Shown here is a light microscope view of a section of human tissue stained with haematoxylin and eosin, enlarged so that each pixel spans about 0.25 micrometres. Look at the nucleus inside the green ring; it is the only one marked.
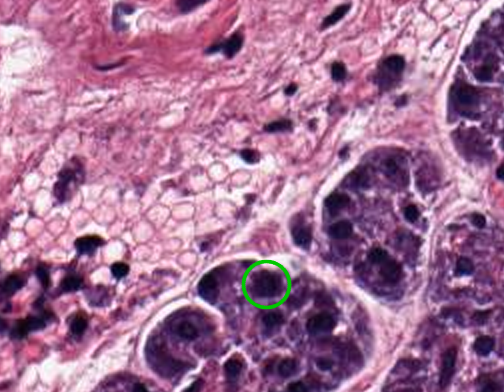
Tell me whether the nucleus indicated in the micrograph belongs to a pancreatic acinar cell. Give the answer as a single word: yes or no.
yes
